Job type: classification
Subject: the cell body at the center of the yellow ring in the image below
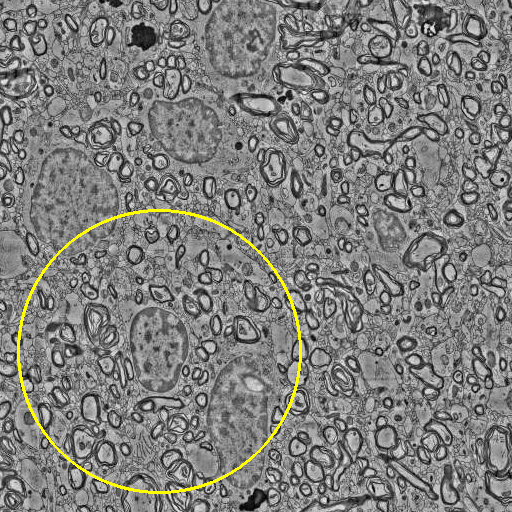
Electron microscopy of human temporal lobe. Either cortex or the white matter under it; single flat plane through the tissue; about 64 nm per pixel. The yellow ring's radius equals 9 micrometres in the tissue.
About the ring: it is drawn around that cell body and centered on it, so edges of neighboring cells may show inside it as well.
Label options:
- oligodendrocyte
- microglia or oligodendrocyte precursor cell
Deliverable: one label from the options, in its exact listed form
microglia or oligodendrocyte precursor cell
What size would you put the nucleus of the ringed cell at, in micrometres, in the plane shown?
In this plane the nucleus spans approximately 5 by 4 micrometers.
